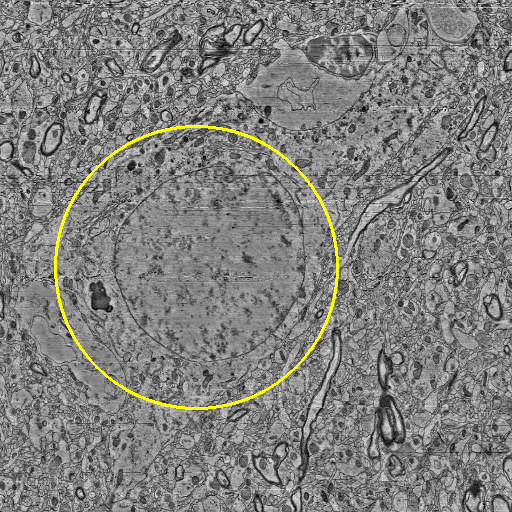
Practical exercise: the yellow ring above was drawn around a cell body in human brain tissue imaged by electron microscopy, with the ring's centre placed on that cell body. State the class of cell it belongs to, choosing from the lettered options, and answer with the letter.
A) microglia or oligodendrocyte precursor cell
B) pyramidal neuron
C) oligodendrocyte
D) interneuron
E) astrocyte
B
